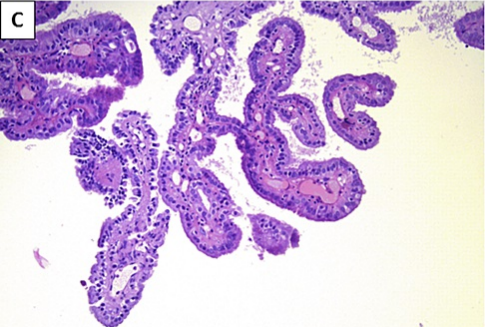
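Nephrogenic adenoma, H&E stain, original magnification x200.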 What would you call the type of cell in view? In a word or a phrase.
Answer: Single layer of cylindrical and cubical cells.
